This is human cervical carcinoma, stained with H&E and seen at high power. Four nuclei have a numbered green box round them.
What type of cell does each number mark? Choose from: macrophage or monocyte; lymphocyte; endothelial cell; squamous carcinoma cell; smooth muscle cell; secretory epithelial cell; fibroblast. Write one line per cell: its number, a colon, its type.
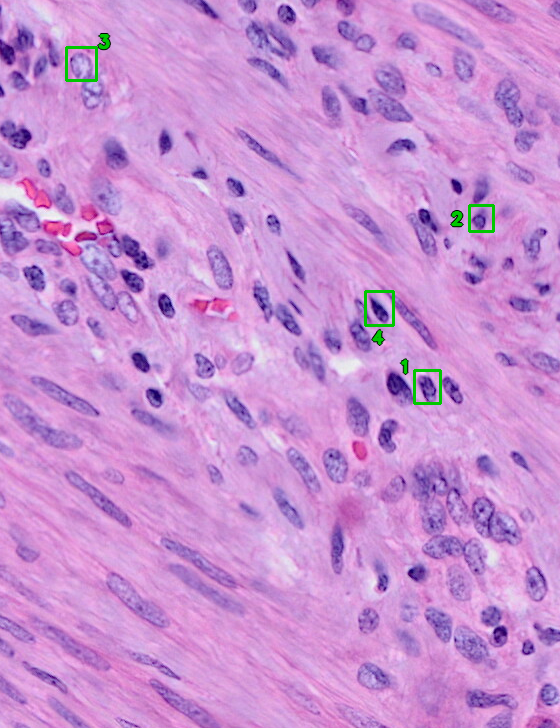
1: lymphocyte
2: smooth muscle cell
3: endothelial cell
4: lymphocyte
